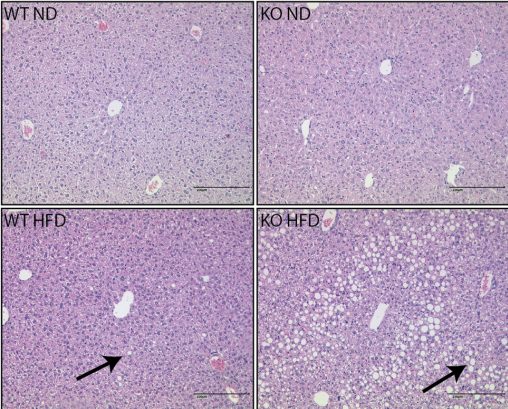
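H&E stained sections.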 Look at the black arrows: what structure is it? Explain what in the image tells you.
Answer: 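Round, clear, unstained spaces lie inside the pink cell plates. The clear spaces are most numerous and largest in the lower right image. That points to this answer: liver fat vacuoles.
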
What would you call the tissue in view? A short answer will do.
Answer: Liver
